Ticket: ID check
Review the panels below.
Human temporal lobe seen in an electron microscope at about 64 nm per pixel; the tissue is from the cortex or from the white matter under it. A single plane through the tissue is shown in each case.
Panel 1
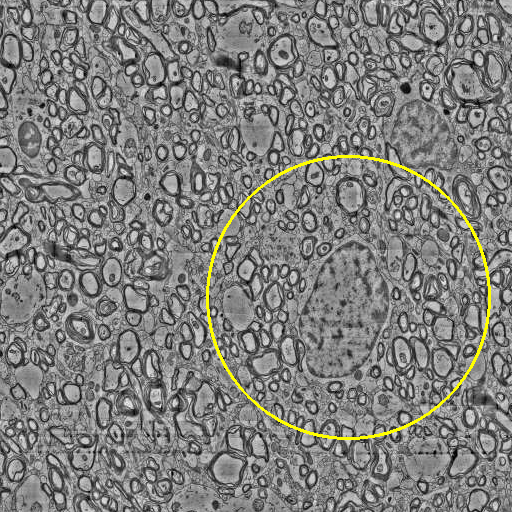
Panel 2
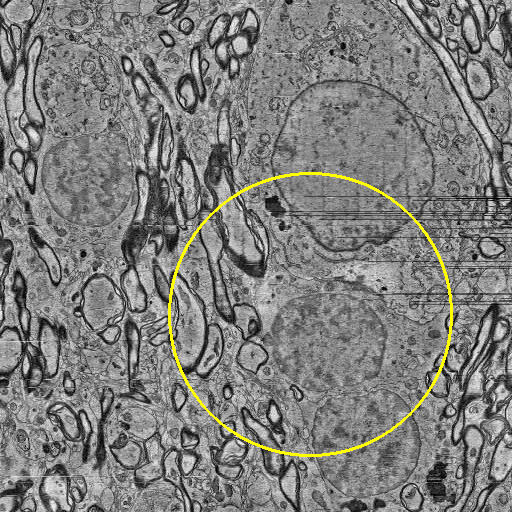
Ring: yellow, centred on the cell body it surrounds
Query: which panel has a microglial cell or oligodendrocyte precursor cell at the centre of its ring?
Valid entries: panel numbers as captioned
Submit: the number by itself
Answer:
1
